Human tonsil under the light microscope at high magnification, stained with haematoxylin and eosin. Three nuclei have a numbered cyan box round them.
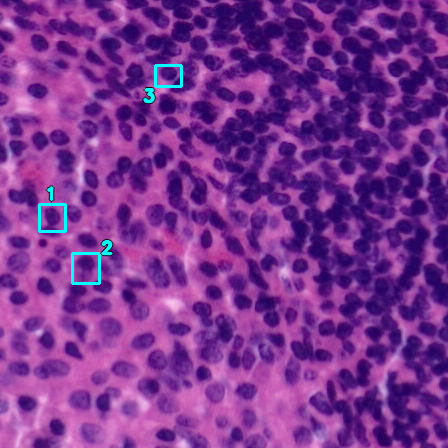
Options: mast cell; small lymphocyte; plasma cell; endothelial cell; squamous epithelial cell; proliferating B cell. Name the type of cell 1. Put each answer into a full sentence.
The expected answer is that cell 1 is a plasma cell.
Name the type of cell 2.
To a plasma cell belongs the nucleus marked 2.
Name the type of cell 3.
In this section, the cell numbered 3 is a small lymphocyte.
